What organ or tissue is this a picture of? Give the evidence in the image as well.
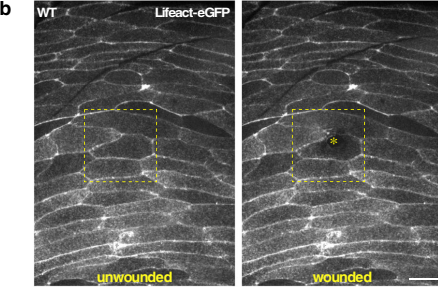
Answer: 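Monolayered epithelium. A single sheet of flat, elongated polygonal cells with bright outlines. Cells abut one another edge to edge without overlapping layers.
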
